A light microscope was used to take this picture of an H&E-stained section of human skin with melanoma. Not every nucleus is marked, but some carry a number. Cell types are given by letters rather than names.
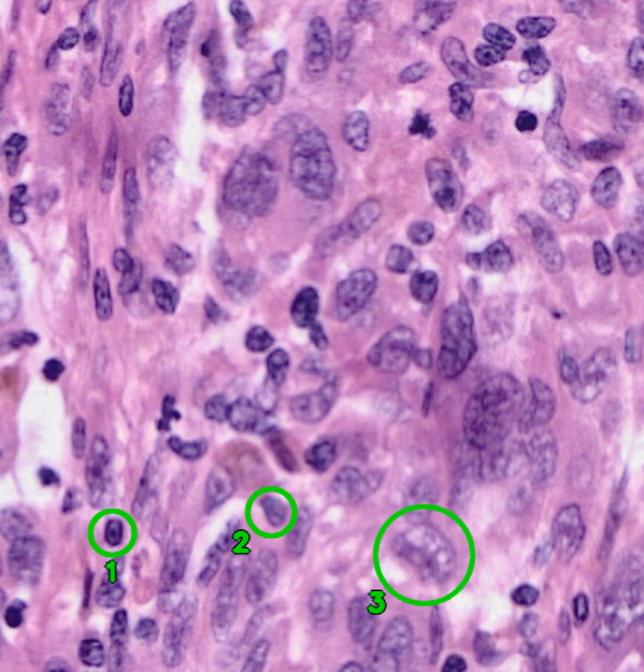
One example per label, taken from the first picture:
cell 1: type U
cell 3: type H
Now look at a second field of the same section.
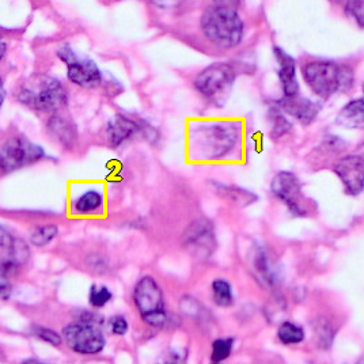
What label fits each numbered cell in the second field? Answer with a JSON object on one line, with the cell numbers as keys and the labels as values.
{"1": "type H", "2": "type U"}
